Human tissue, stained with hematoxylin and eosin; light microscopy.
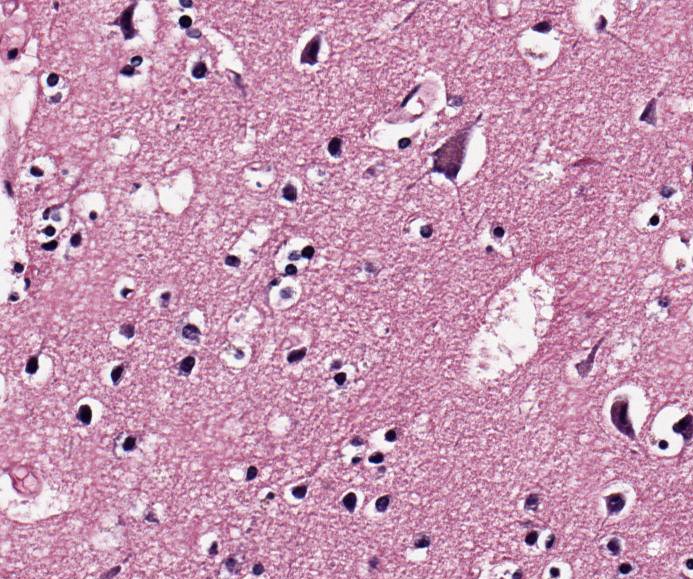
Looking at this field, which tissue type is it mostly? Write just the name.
cerebral cortex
